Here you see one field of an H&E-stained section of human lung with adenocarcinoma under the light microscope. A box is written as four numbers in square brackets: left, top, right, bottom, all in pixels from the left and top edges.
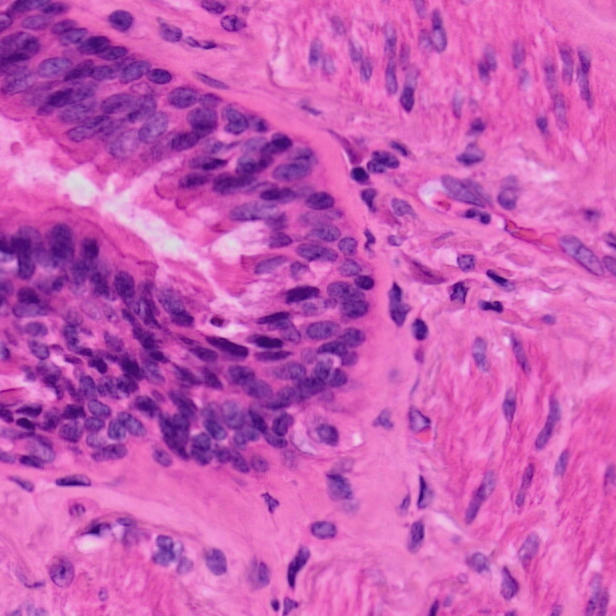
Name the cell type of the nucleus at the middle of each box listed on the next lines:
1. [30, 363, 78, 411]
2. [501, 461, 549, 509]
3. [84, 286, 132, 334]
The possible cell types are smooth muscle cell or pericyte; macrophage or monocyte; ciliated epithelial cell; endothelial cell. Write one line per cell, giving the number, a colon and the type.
1: ciliated epithelial cell
2: smooth muscle cell or pericyte
3: ciliated epithelial cell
